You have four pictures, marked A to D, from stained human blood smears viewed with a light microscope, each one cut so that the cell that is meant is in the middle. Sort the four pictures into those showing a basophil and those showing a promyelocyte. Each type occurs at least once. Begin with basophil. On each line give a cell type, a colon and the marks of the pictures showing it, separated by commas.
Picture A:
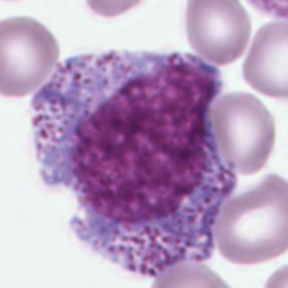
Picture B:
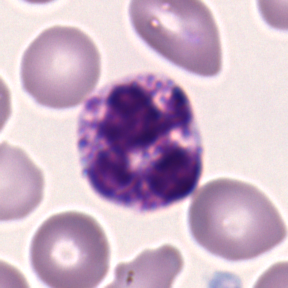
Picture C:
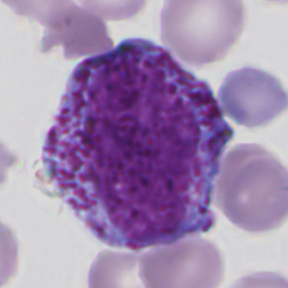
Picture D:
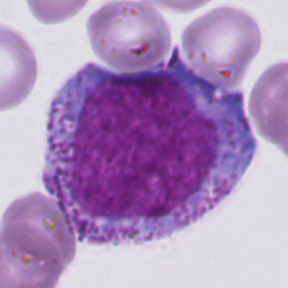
basophil: B
promyelocyte: A, C, D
